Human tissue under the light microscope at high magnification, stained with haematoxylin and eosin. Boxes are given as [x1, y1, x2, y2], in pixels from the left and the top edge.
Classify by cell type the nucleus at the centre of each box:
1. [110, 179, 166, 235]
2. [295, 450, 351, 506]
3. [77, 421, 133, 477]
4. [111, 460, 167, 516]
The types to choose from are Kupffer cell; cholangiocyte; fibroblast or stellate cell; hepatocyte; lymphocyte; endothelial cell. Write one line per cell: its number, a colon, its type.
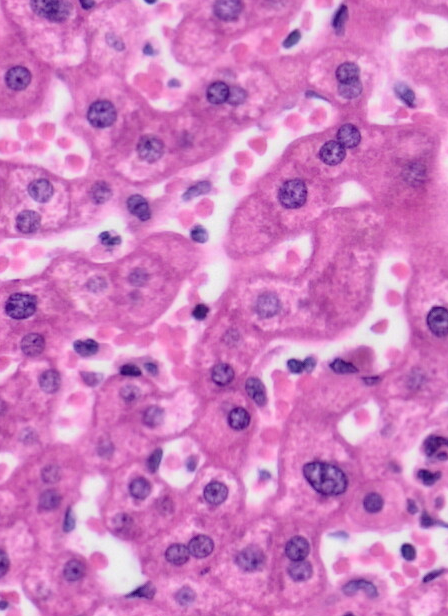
1: Kupffer cell
2: hepatocyte
3: hepatocyte
4: hepatocyte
